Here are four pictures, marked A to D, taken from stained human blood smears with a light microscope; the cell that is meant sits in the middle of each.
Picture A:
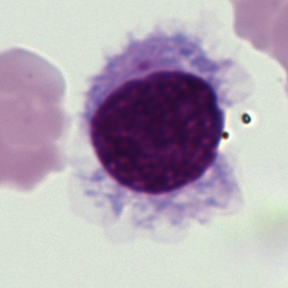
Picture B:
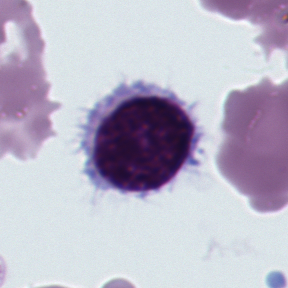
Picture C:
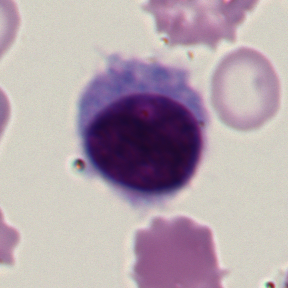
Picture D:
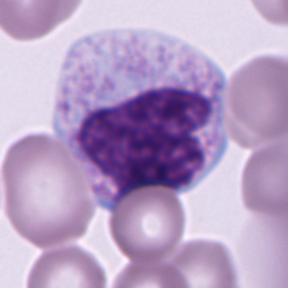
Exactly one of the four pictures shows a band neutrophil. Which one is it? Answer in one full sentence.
The cell in picture D is the band neutrophil.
